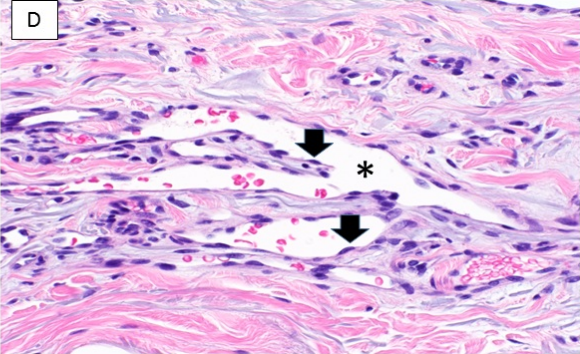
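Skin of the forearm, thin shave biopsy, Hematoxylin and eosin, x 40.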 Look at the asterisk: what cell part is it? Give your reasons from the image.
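Lumen. The asterisk lies in an empty white space lined by a thin cell layer. Red blood cells lie scattered in this space.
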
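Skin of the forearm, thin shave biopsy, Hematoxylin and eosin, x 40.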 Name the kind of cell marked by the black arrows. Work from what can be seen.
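The arrows point at flattened to plump cells lining a vessel space containing red blood cells. Their dark nuclei bulge into the lumen.
Endothelial cells.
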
